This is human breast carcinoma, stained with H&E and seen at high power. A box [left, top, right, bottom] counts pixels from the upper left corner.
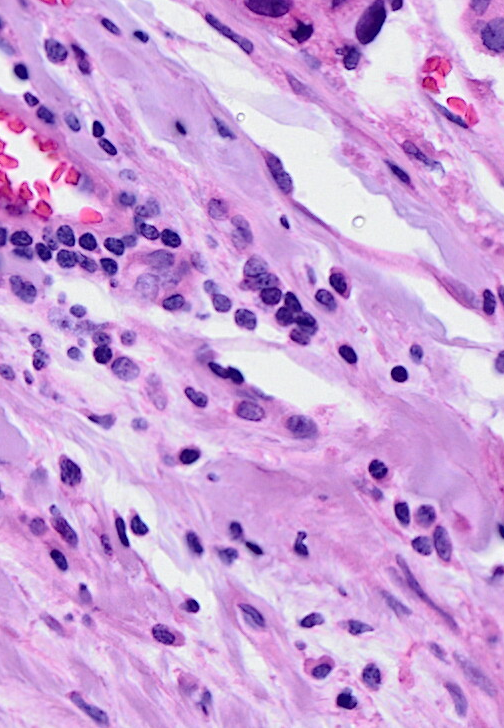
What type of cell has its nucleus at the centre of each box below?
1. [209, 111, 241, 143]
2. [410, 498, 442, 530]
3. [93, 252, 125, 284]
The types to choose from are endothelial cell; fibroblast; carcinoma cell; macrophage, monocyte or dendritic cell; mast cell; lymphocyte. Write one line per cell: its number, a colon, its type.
1: fibroblast
2: mast cell
3: lymphocyte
